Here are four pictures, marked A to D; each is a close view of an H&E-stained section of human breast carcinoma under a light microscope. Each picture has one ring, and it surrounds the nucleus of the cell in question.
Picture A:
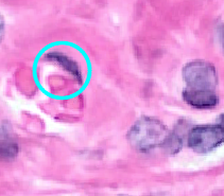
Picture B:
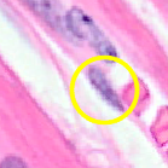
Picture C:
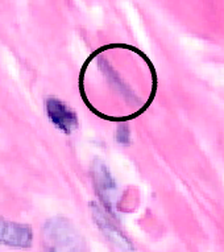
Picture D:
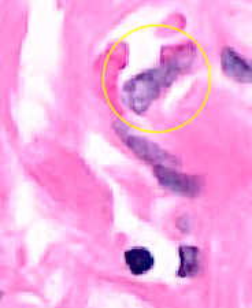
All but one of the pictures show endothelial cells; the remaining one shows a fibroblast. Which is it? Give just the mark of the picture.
C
